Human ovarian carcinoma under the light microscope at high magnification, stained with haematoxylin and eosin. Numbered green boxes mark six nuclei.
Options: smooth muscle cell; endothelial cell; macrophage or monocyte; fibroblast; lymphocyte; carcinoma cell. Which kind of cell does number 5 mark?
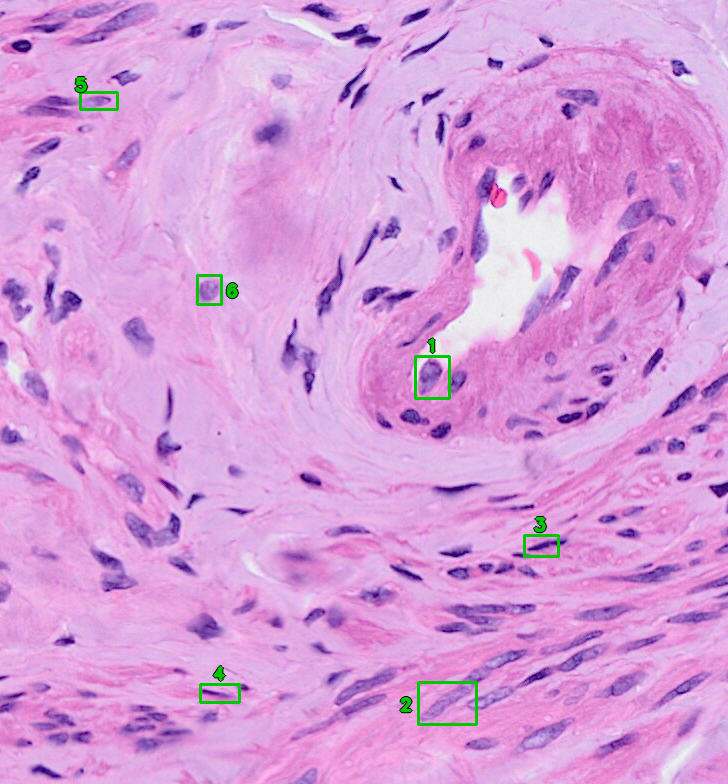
smooth muscle cell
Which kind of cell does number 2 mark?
smooth muscle cell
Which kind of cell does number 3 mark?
smooth muscle cell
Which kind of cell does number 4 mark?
smooth muscle cell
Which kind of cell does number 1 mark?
endothelial cell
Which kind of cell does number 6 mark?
fibroblast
